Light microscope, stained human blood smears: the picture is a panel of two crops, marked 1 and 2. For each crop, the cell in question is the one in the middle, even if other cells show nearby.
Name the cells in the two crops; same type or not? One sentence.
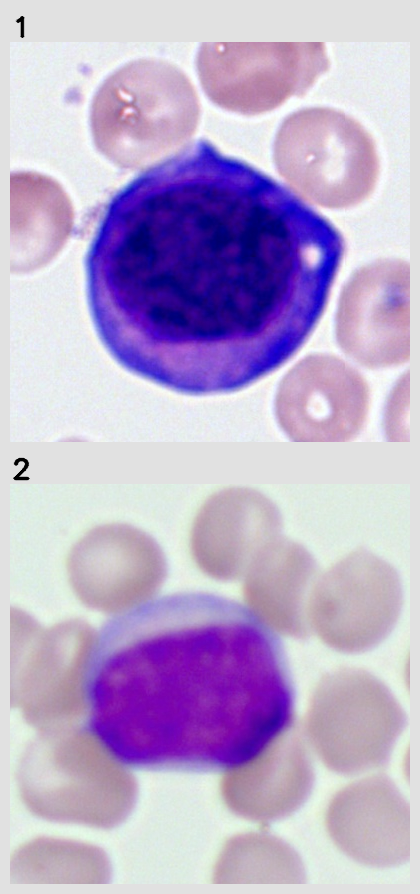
Yes, in the middle of both crops, myeloblasts are shown.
